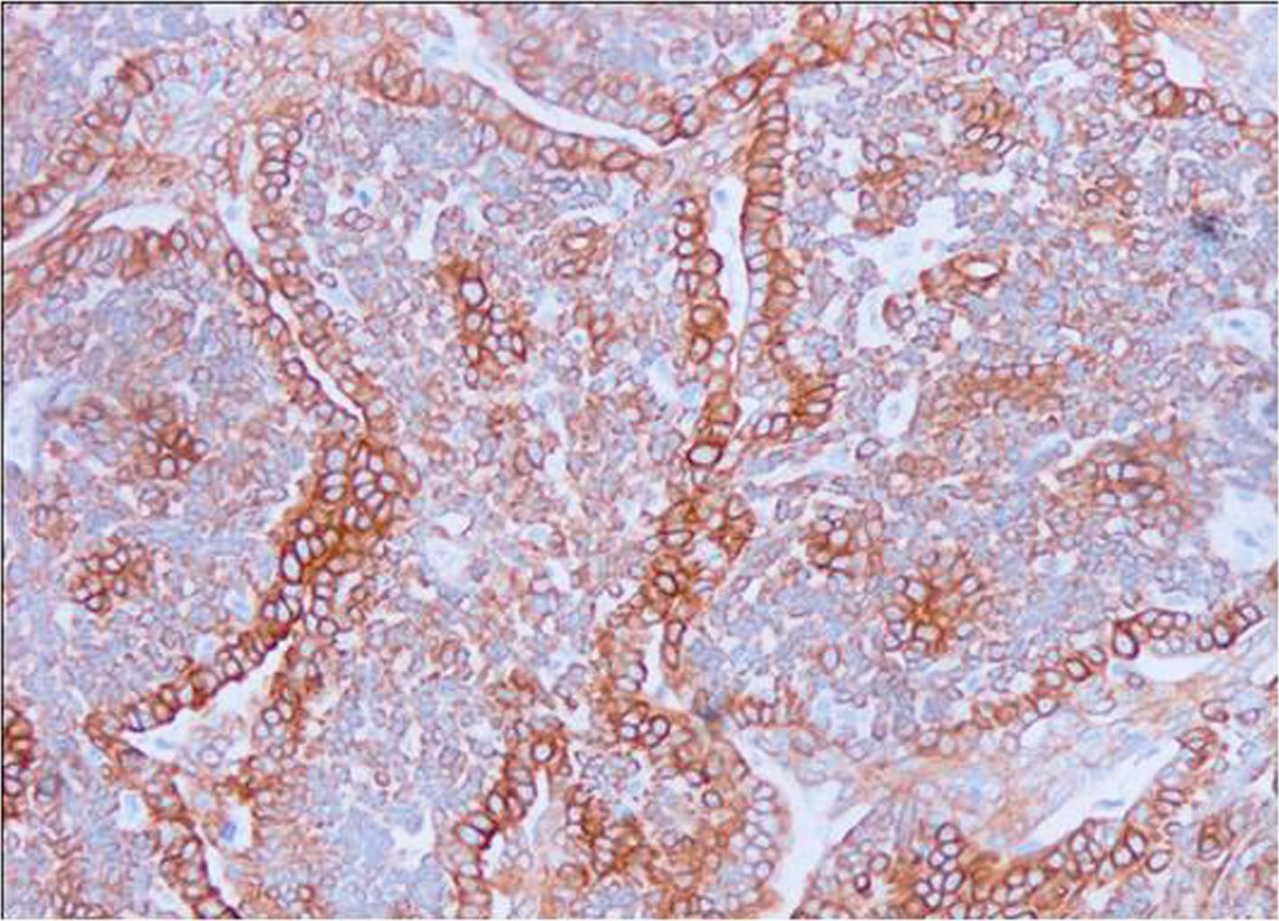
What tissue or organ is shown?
Carcinoma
